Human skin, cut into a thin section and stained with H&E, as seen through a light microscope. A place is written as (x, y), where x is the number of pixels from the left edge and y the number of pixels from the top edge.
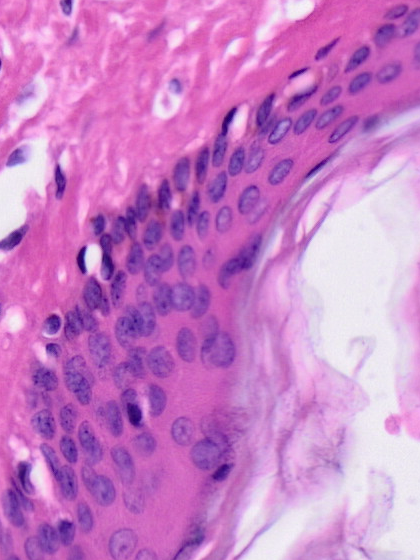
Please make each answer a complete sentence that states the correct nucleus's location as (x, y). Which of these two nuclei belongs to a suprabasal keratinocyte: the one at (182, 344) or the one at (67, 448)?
The nucleus of the pair that lies within a suprabasal keratinocyte is at (182, 344).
